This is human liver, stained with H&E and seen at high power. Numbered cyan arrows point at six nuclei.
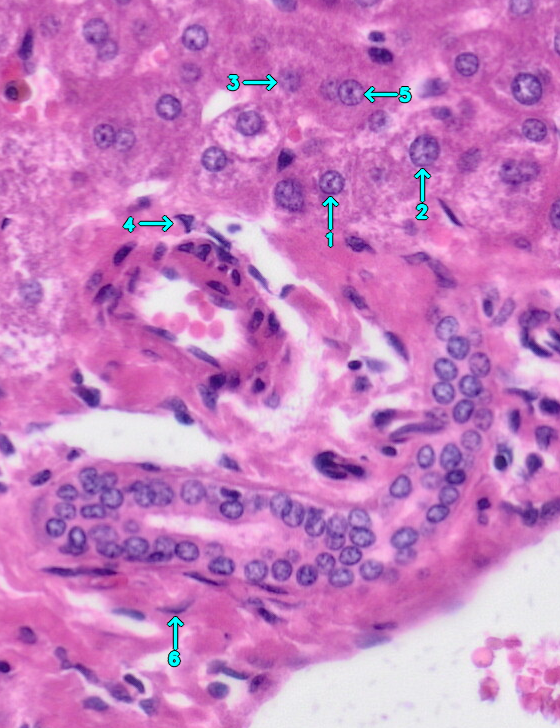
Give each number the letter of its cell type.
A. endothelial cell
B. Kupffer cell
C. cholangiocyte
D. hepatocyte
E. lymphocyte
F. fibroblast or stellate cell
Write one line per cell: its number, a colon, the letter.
1: D
2: D
3: D
4: F
5: D
6: F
